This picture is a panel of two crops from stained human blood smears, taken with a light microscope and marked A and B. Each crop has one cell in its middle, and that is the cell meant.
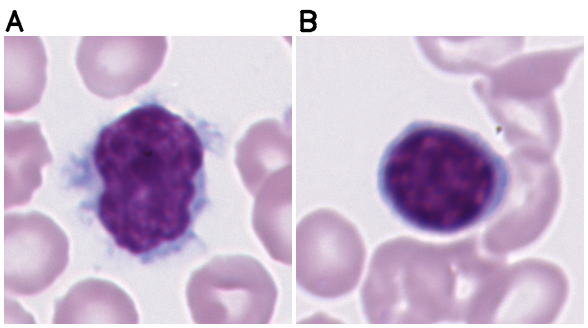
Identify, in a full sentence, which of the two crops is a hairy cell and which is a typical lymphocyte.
Crop A contains a hairy cell, and crop B, a typical lymphocyte.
